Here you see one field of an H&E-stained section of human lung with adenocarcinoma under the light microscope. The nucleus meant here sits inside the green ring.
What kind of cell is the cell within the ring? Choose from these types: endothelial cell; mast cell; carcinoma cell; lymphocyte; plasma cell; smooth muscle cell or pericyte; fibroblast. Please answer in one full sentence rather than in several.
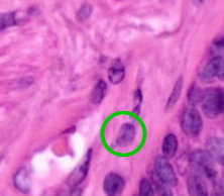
In this section of tissue, the cell within the ring is a fibroblast.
